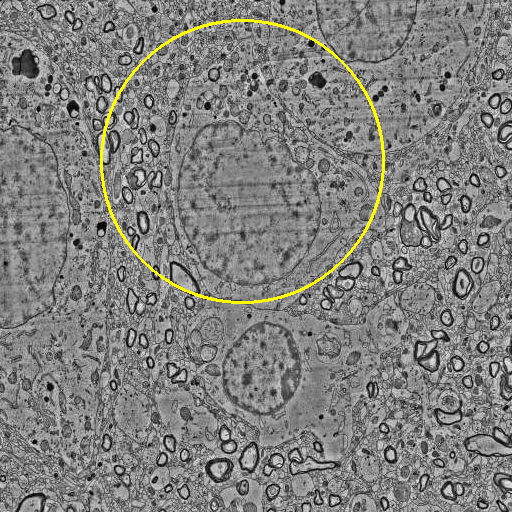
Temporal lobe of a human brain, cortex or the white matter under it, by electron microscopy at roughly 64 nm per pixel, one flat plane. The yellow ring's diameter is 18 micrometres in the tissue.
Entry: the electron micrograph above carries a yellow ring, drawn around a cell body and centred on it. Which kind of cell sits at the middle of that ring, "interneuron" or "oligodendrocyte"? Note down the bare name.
interneuron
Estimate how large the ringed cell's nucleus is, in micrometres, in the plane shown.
The nucleus of the ringed cell is approximately 11 by 9 micrometres in this plane.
